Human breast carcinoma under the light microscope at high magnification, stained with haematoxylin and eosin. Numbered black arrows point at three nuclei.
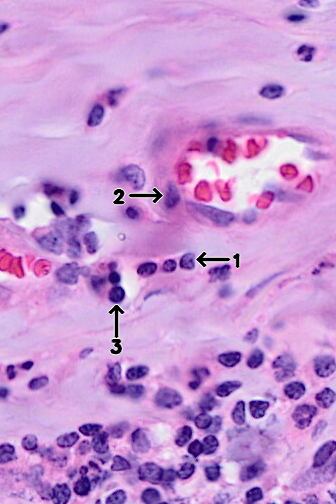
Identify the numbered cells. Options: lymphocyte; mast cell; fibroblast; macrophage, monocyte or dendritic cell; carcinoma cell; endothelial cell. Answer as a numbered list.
1. lymphocyte
2. endothelial cell
3. lymphocyte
